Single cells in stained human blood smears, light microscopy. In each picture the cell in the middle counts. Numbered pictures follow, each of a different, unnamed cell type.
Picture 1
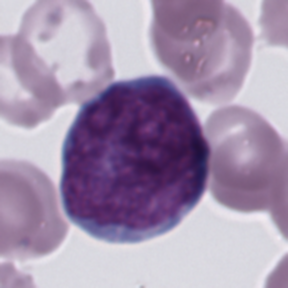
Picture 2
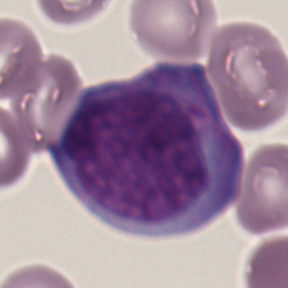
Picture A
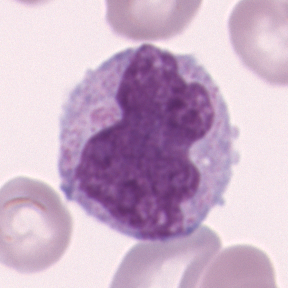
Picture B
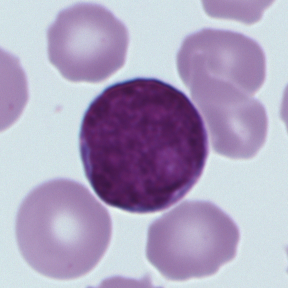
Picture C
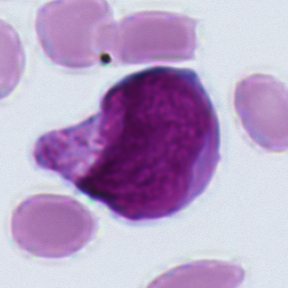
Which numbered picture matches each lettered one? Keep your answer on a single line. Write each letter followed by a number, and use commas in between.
A 2, B 1, C 2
